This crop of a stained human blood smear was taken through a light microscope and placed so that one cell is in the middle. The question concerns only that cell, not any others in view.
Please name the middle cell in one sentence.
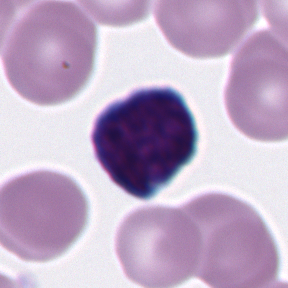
For this crop, the cell in the middle is a typical lymphocyte.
